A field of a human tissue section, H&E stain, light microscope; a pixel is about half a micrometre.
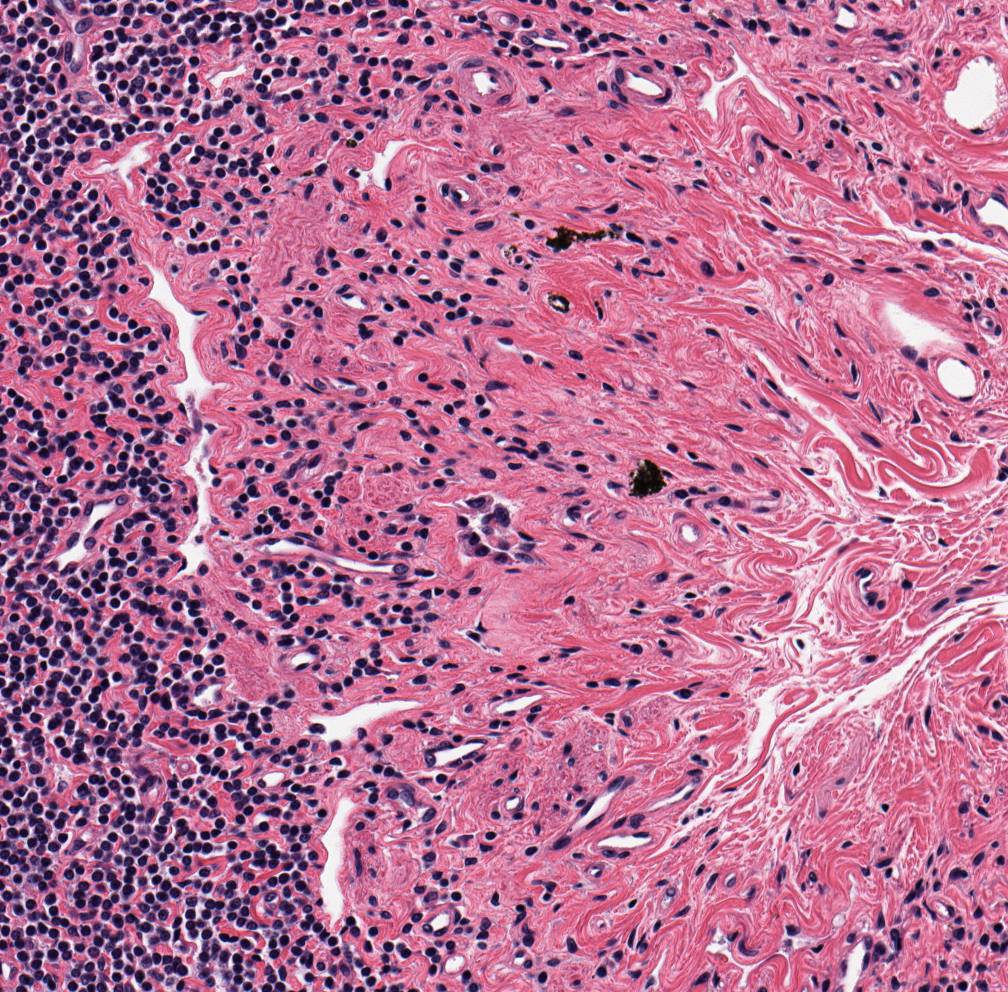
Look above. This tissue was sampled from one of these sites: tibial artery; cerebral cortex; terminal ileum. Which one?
terminal ileum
